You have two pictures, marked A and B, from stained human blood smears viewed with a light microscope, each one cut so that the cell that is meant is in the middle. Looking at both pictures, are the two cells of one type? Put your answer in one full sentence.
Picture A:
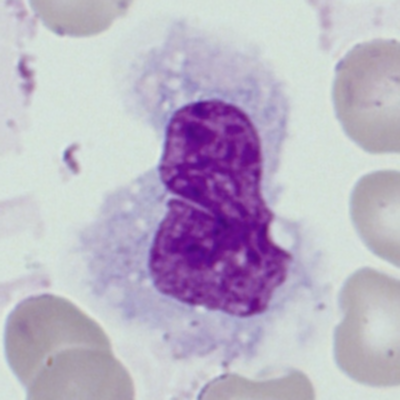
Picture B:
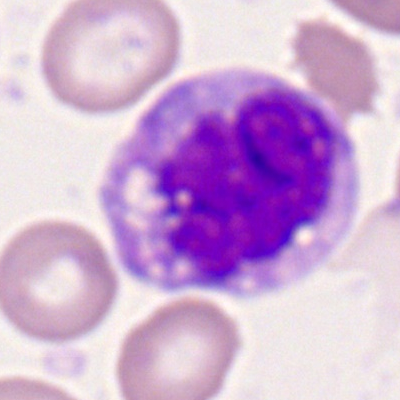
Yes, the two pictures both show monocytes.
